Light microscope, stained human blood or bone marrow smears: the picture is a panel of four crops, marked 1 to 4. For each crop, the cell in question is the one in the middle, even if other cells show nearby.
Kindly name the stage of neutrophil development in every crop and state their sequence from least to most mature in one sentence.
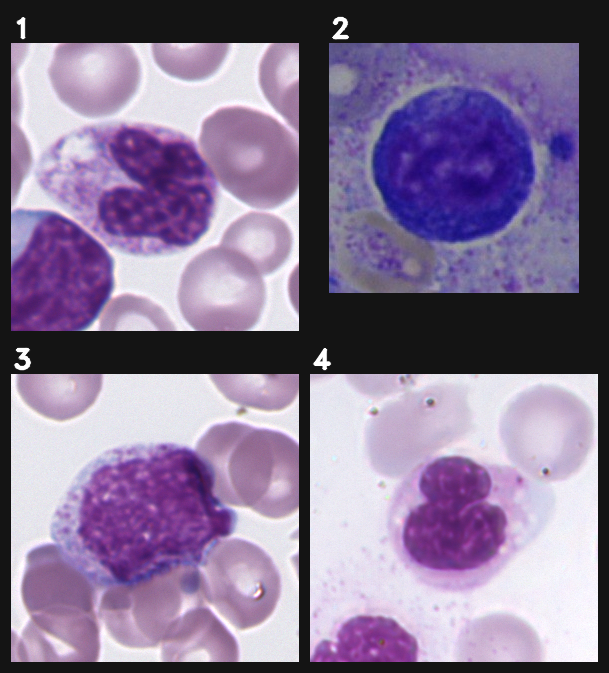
The maturation order, from least to most mature, is crop 2 (a promyelocyte), crop 3 (a myelocyte), crop 4 (a band neutrophil) and crop 1 (a segmented neutrophil).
